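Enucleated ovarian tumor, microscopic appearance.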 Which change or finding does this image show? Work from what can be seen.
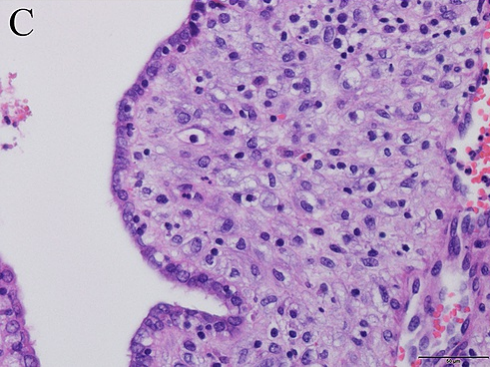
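Decidual change. These stromal cells have round nuclei, some with visible nucleoli.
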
